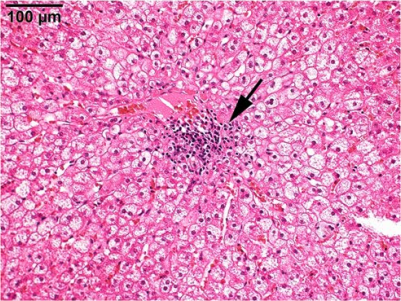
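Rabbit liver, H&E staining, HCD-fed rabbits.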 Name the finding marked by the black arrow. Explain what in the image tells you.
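The arrow points to a dense cluster of small, dark round nuclei. The cluster lies among larger pale hepatocytes near a vessel. The clustered cells have scant cytoplasm. That points to this answer: mononuclear infiltration.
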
